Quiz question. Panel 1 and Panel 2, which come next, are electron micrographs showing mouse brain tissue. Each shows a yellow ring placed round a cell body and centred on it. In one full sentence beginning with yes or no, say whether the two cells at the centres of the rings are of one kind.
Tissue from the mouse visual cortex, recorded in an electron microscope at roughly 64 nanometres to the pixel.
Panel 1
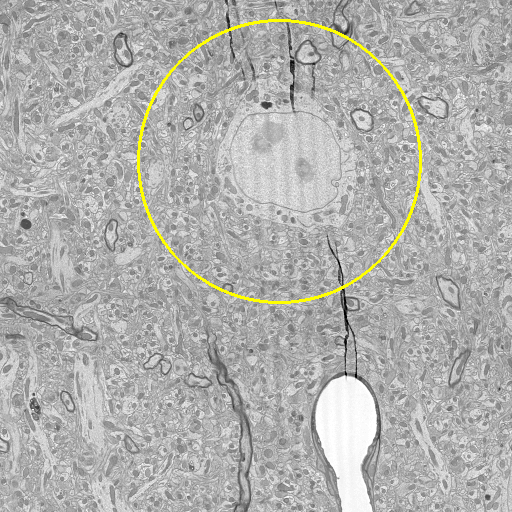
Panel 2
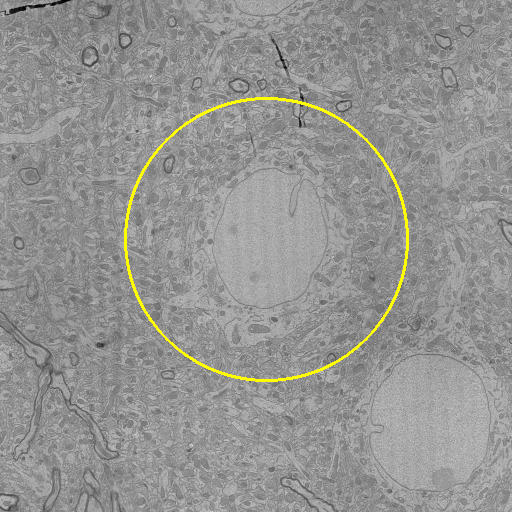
Yes, Panel 1 and Panel 2 show one kind of cell at the centre of the ring.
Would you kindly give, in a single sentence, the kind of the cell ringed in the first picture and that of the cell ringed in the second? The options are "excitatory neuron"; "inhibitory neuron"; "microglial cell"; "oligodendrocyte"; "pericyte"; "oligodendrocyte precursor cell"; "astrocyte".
Each of the two rings is centred on an excitatory neuron.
